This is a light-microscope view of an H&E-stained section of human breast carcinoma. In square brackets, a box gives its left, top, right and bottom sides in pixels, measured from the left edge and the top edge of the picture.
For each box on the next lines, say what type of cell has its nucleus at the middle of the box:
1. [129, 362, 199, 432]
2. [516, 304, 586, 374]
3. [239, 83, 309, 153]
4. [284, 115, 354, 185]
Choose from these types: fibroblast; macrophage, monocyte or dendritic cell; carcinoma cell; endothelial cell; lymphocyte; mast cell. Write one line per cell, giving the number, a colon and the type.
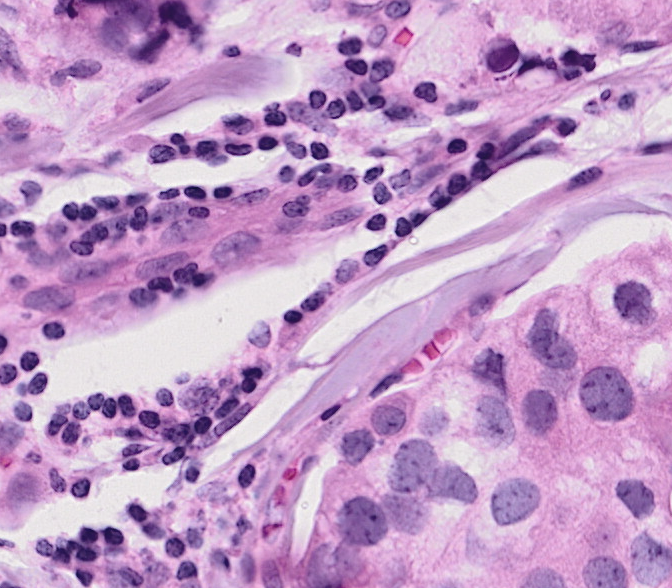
1: lymphocyte
2: carcinoma cell
3: lymphocyte
4: lymphocyte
